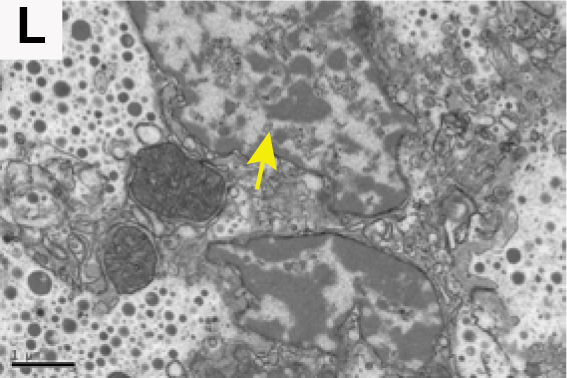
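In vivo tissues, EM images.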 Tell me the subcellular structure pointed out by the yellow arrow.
Nucleus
